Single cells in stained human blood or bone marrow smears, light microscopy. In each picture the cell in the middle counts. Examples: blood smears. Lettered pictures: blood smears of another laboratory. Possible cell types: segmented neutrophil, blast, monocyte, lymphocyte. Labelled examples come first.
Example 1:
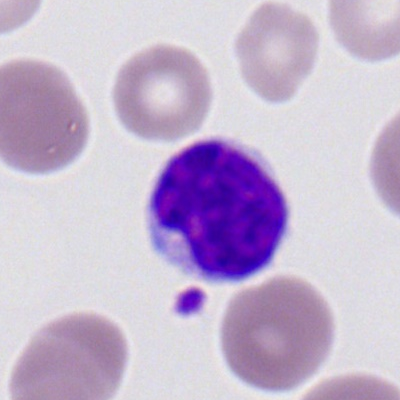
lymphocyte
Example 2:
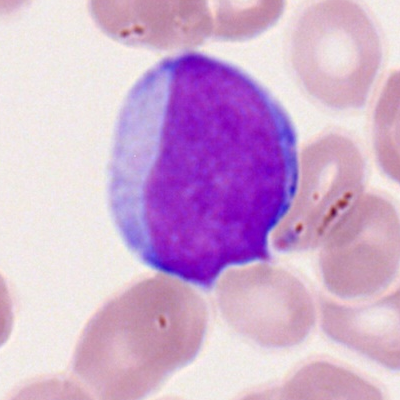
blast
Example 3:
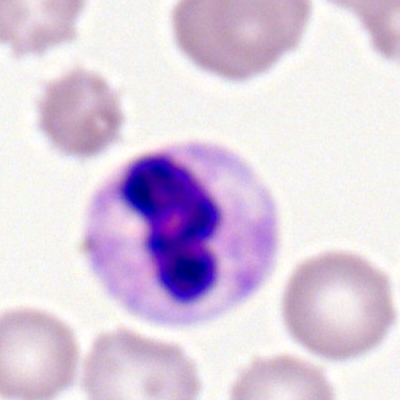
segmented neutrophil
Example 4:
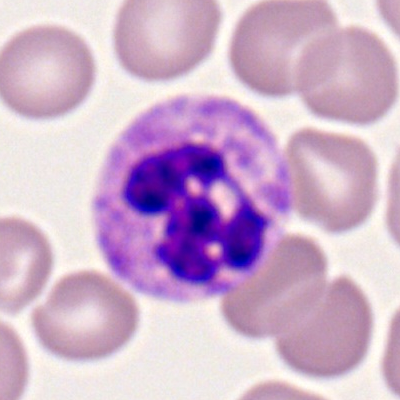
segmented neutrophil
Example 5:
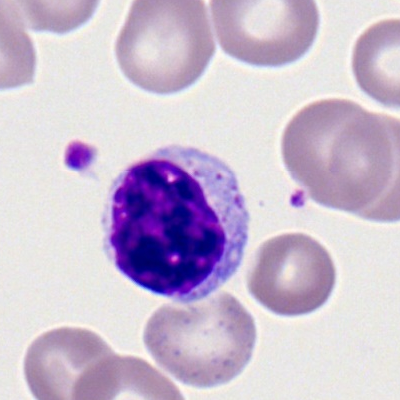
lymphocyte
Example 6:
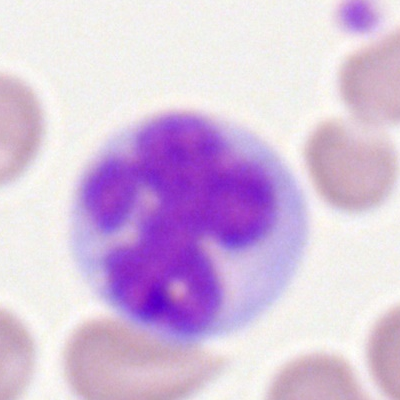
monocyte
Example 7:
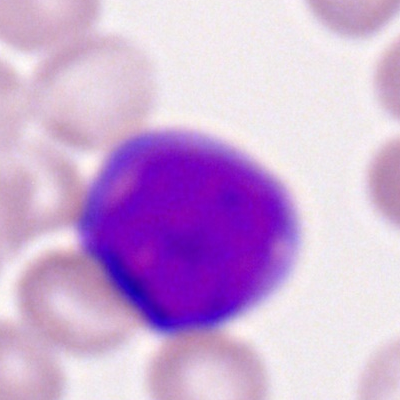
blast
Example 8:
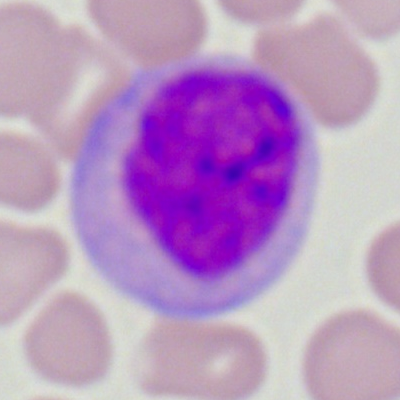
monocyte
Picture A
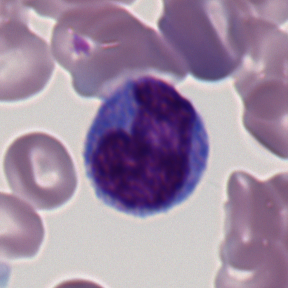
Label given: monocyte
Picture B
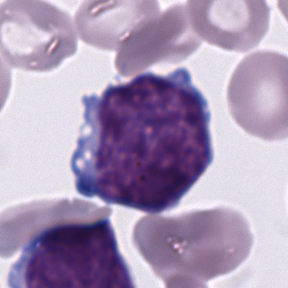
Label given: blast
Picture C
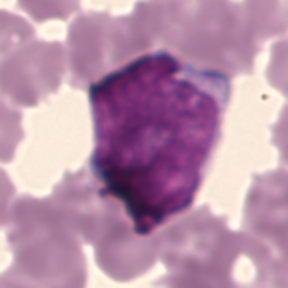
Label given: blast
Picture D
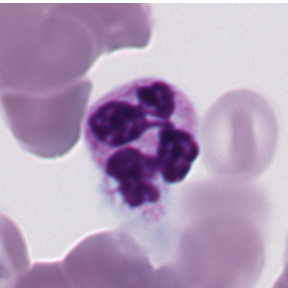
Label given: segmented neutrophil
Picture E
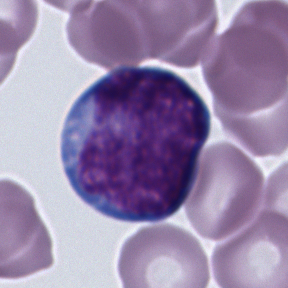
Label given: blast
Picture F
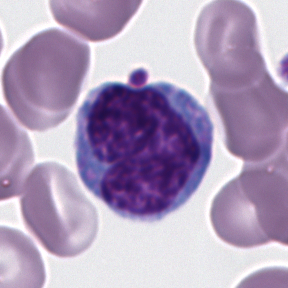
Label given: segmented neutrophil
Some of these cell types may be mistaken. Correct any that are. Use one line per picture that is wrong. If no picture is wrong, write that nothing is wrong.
Wrong: F (segmented neutrophil); correct: monocyte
